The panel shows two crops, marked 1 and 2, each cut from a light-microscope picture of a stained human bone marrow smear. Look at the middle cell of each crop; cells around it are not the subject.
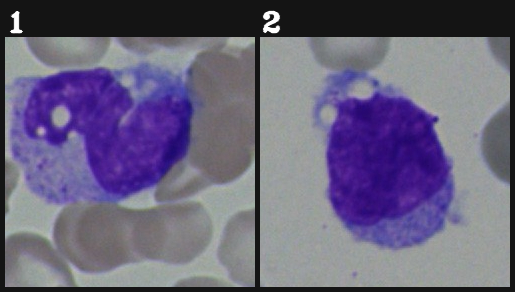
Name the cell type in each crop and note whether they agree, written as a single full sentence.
No, the middle of crop 1 holds a monocyte, and the middle of crop 2 holds a blast.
